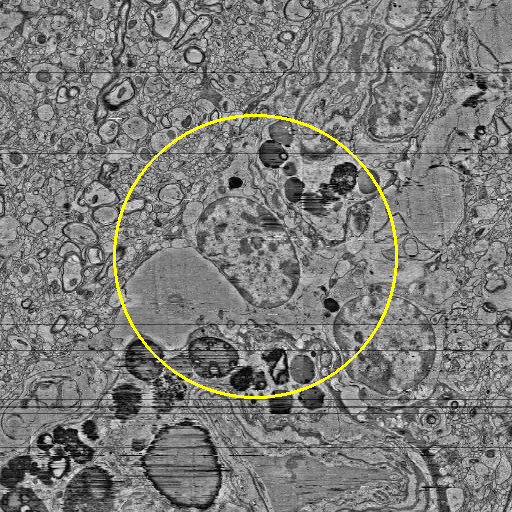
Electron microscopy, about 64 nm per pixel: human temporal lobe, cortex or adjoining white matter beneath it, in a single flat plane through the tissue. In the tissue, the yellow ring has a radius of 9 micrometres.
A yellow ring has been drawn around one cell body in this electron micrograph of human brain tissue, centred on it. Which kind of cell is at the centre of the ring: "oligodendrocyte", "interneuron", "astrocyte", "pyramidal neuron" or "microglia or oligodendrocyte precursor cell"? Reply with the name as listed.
microglia or oligodendrocyte precursor cell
